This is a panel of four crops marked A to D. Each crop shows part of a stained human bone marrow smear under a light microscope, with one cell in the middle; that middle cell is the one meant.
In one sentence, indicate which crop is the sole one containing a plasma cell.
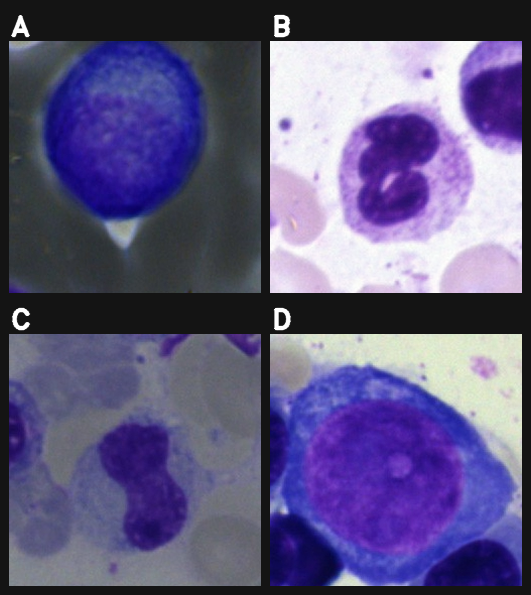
The crop bearing a plasma cell is crop A.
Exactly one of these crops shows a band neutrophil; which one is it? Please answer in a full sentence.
On review of the set, crop C is the one showing a band neutrophil.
